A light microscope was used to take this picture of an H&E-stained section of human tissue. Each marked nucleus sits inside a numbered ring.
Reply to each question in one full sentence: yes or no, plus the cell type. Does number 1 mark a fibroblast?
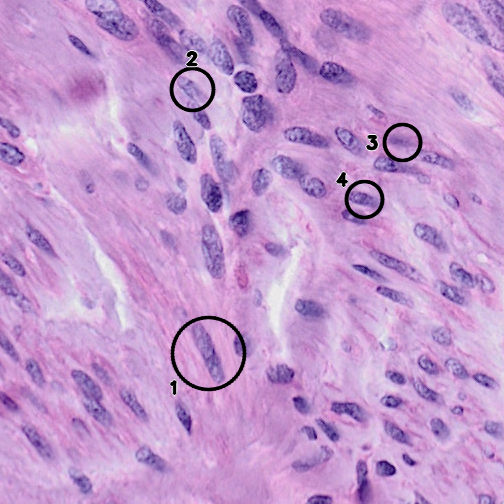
No, the cell denoted 1 is a smooth muscle cell rather than a fibroblast.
